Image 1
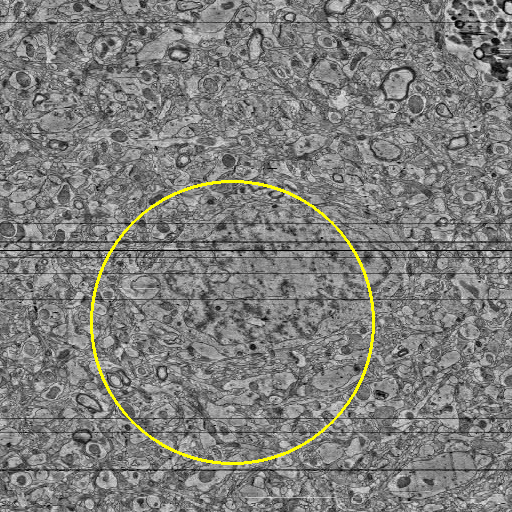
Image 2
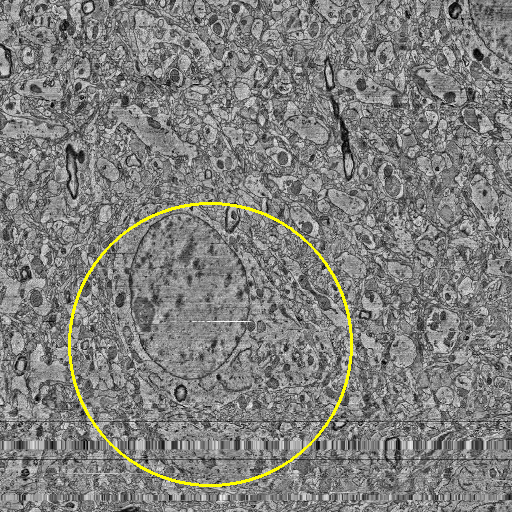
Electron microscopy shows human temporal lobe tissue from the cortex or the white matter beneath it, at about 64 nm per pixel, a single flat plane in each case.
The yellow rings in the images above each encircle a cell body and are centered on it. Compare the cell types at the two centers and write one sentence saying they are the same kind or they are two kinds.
Taken together, the two cells at the ring centers are two kinds.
